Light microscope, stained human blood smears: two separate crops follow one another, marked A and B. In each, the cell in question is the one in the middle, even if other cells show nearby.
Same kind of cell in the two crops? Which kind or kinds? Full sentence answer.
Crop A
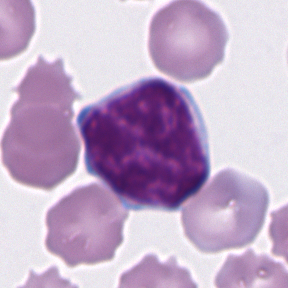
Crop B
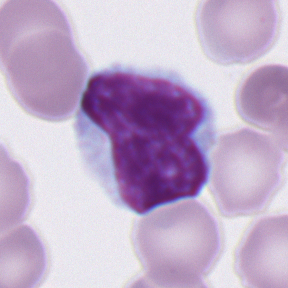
Yes, the cells found in the middle of both crops are typical lymphocytes.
